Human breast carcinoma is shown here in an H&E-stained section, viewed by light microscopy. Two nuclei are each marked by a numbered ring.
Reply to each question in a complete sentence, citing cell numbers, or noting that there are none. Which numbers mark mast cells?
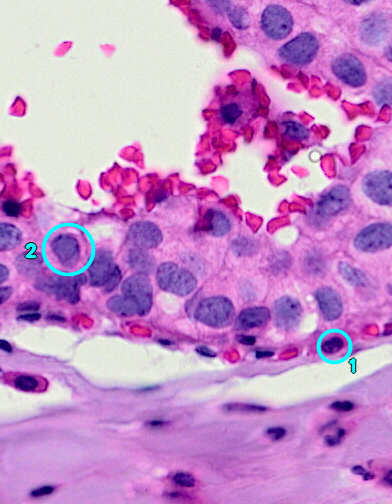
Of those with numbers, only cell 1 is a mast cell.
